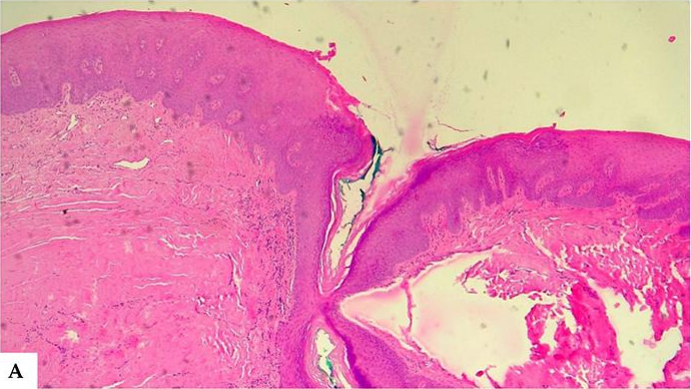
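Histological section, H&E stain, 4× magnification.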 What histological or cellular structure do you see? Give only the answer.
Superficial opening of a cystically dilated follicular structure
